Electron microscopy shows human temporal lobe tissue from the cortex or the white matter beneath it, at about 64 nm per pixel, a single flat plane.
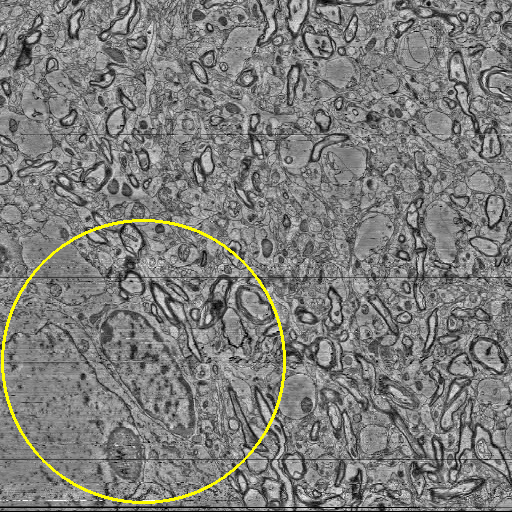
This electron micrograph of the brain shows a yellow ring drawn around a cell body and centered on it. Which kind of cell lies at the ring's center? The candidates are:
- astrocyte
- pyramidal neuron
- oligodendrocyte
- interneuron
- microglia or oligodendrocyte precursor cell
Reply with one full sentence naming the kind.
The cell lying at the ring's center in this micrograph is a microglial cell or oligodendrocyte precursor cell.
